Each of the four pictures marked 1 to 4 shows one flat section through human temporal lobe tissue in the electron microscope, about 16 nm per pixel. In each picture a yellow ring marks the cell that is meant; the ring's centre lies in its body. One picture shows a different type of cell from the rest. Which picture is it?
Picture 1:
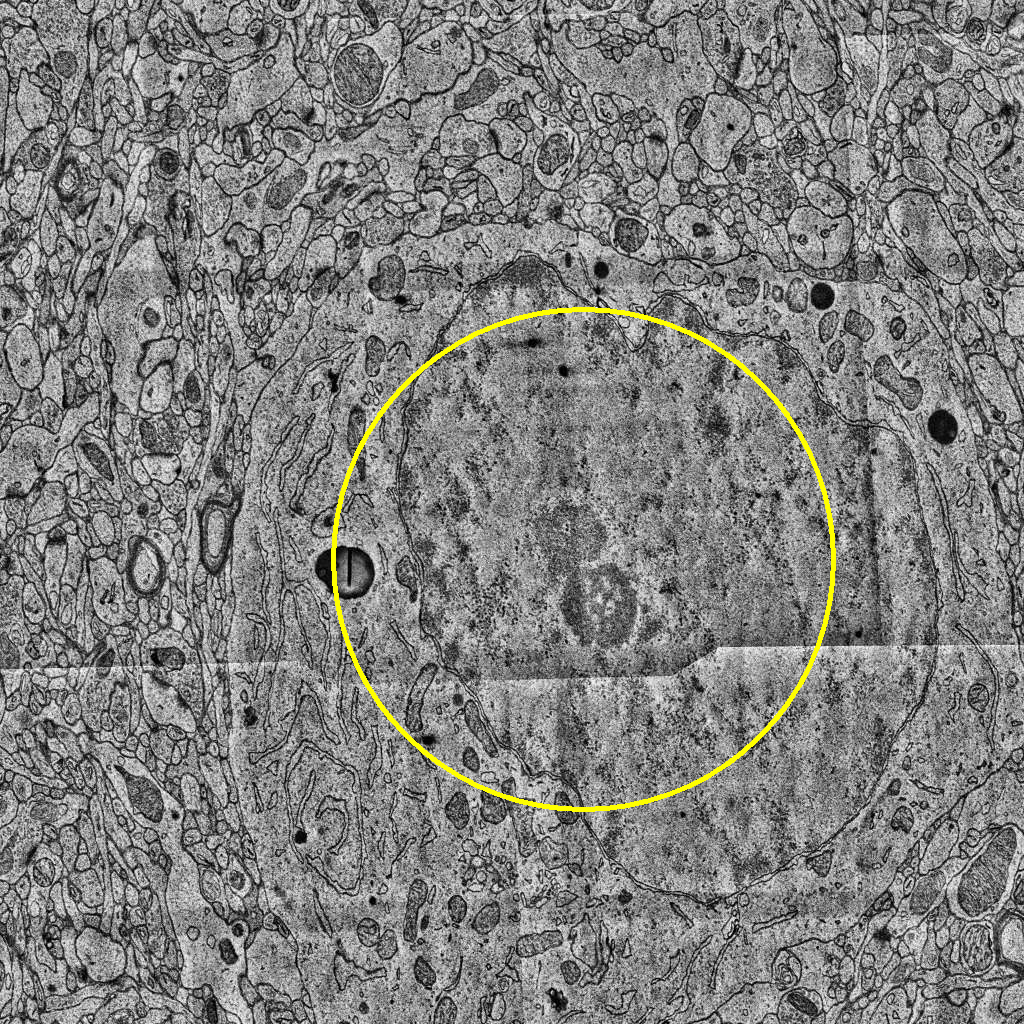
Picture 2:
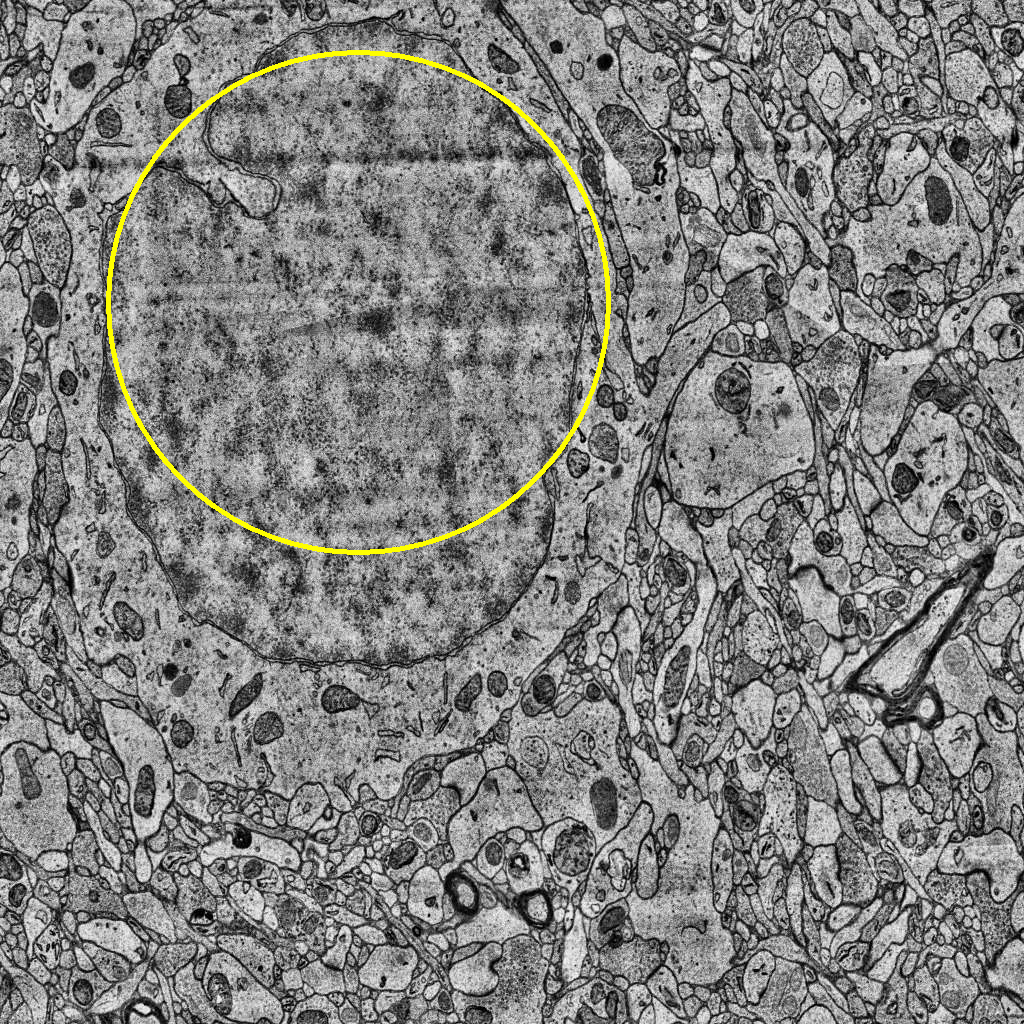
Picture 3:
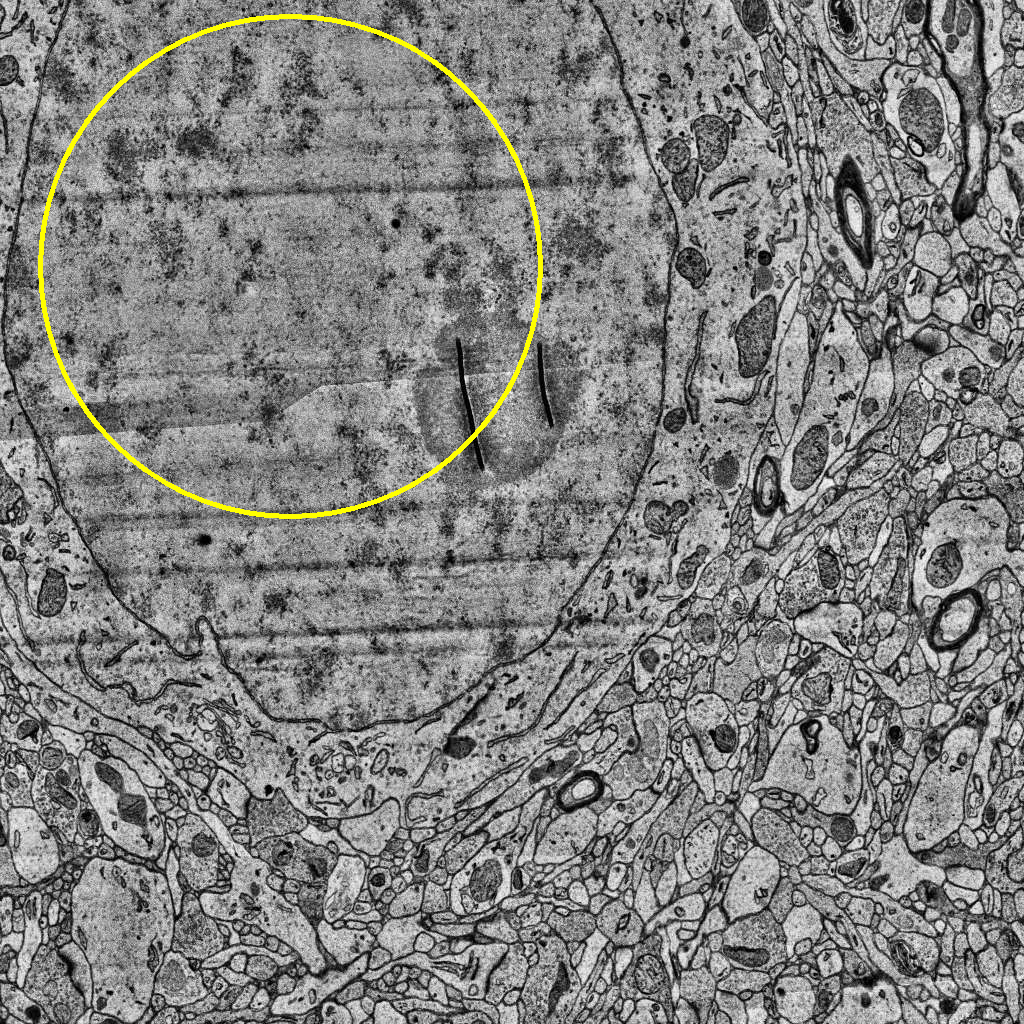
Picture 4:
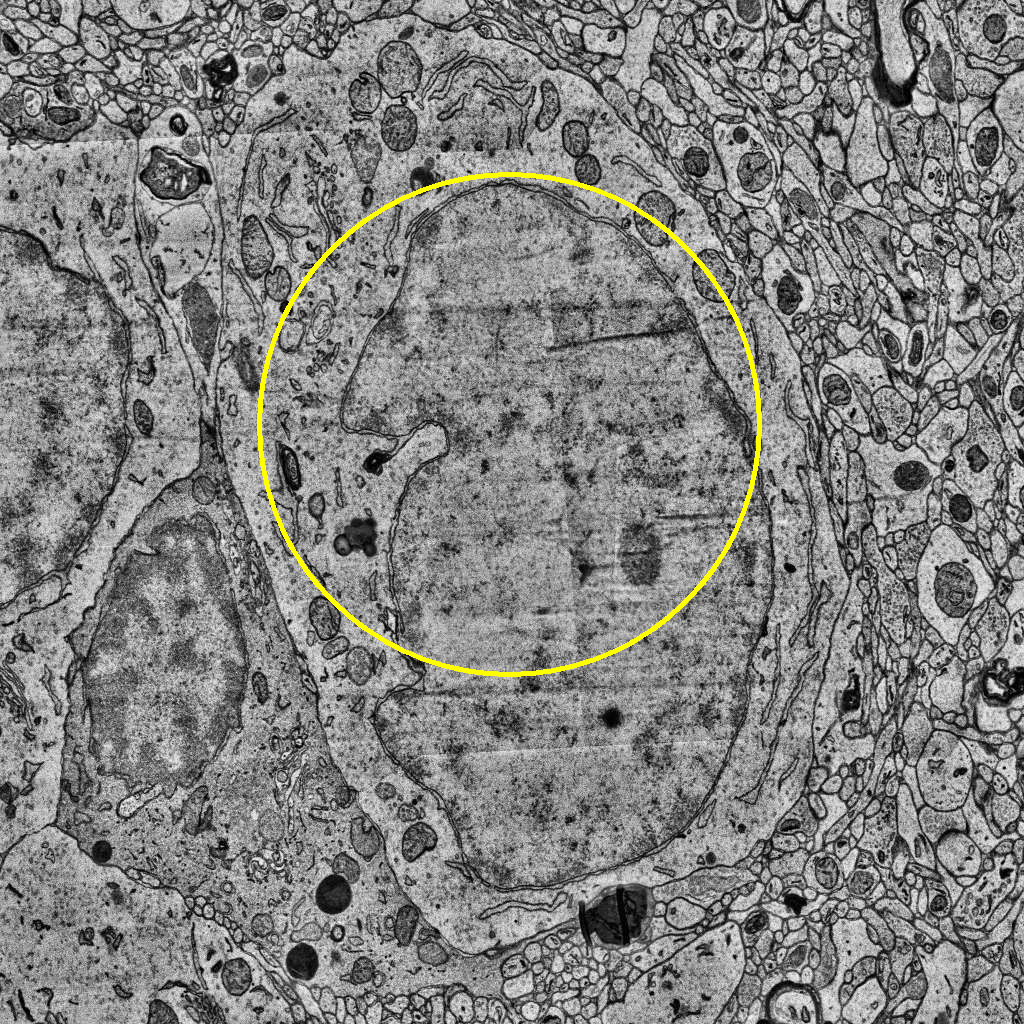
All pictures except 3 show interneurons; picture 3 shows a pyramidal neuron.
